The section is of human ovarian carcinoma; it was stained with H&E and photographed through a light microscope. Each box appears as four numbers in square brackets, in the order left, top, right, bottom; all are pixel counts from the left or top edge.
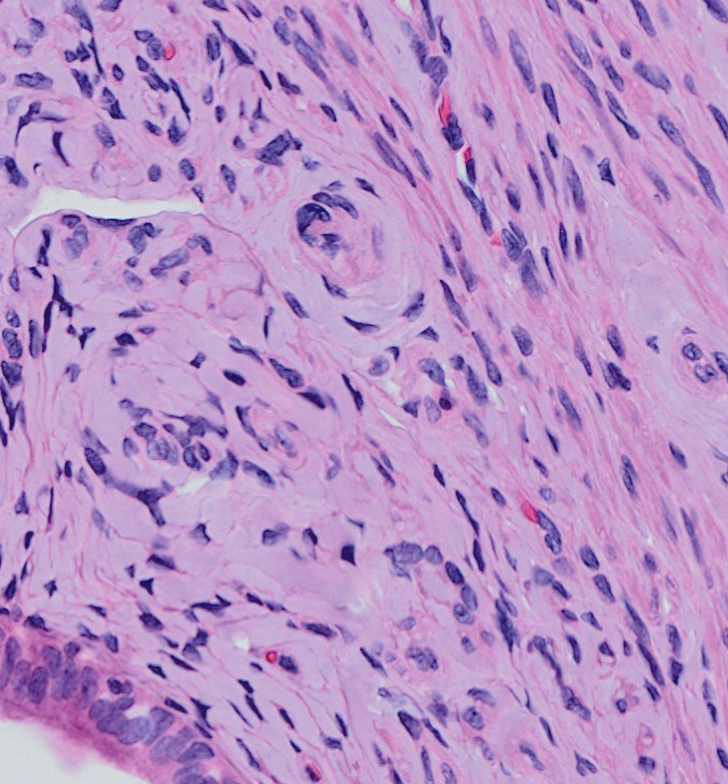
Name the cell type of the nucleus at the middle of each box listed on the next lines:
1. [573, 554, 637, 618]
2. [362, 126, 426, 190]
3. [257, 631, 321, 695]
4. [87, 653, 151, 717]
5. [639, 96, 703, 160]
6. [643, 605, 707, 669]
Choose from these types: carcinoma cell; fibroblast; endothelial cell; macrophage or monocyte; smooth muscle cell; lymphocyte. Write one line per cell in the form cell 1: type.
cell 1: smooth muscle cell
cell 2: smooth muscle cell
cell 3: endothelial cell
cell 4: lymphocyte
cell 5: smooth muscle cell
cell 6: smooth muscle cell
